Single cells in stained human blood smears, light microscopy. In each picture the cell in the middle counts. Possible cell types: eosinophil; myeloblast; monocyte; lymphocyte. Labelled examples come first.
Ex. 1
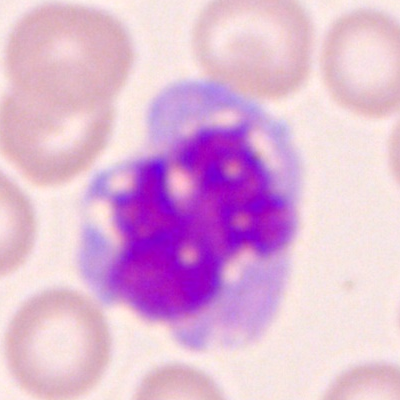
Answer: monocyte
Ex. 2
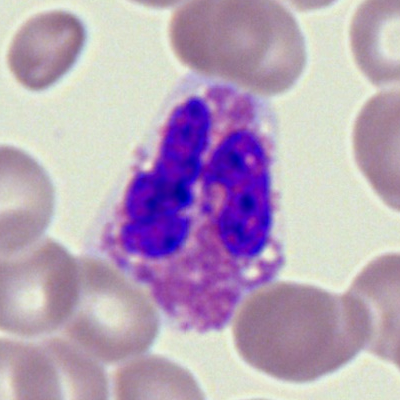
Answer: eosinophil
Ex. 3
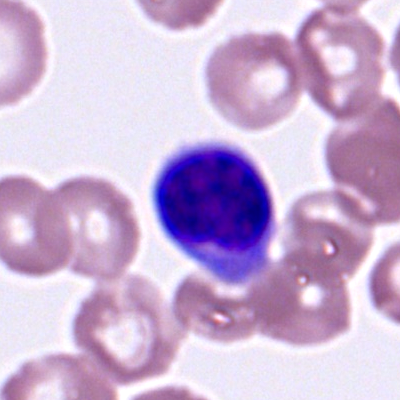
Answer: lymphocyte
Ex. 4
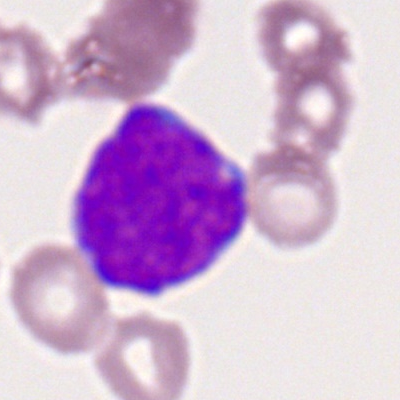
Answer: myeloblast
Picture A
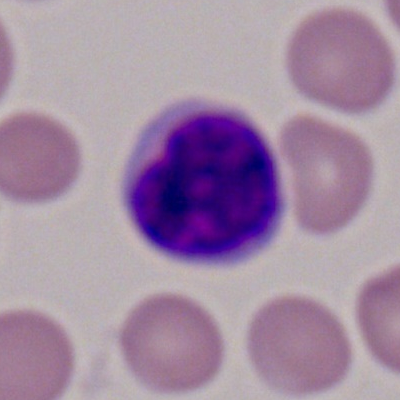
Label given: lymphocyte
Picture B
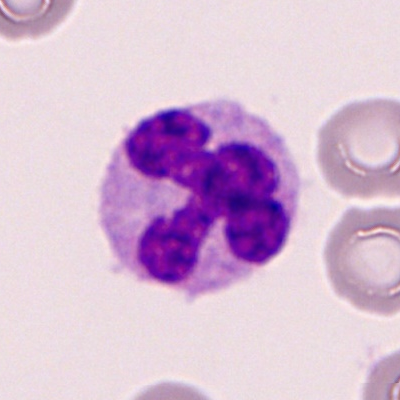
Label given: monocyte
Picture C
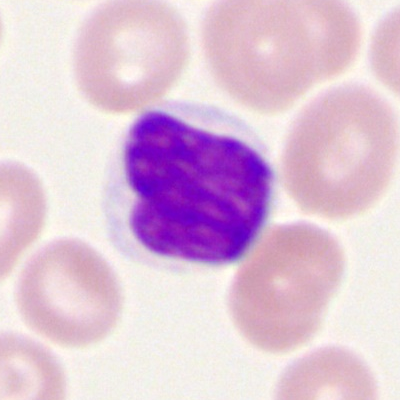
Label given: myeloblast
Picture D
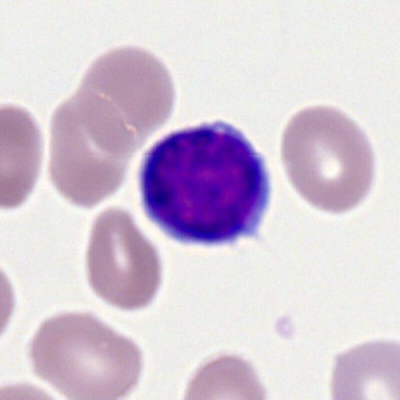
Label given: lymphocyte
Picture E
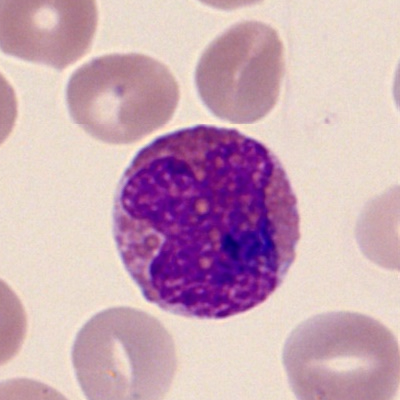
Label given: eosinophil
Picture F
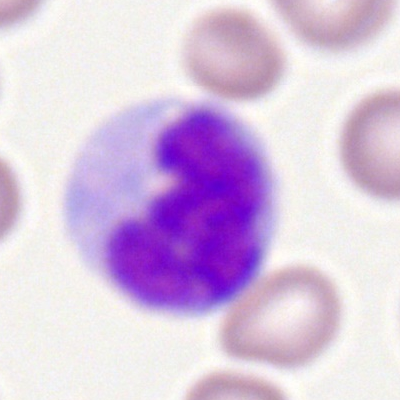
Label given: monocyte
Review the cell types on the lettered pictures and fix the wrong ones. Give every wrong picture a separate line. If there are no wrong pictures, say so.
Wrong: C (myeloblast); correct: lymphocyte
